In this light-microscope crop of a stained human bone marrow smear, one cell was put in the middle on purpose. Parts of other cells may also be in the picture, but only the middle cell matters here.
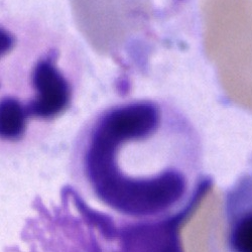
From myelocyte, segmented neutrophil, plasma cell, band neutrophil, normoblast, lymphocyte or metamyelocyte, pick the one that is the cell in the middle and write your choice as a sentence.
In this smear crop, the middle cell is a band neutrophil.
